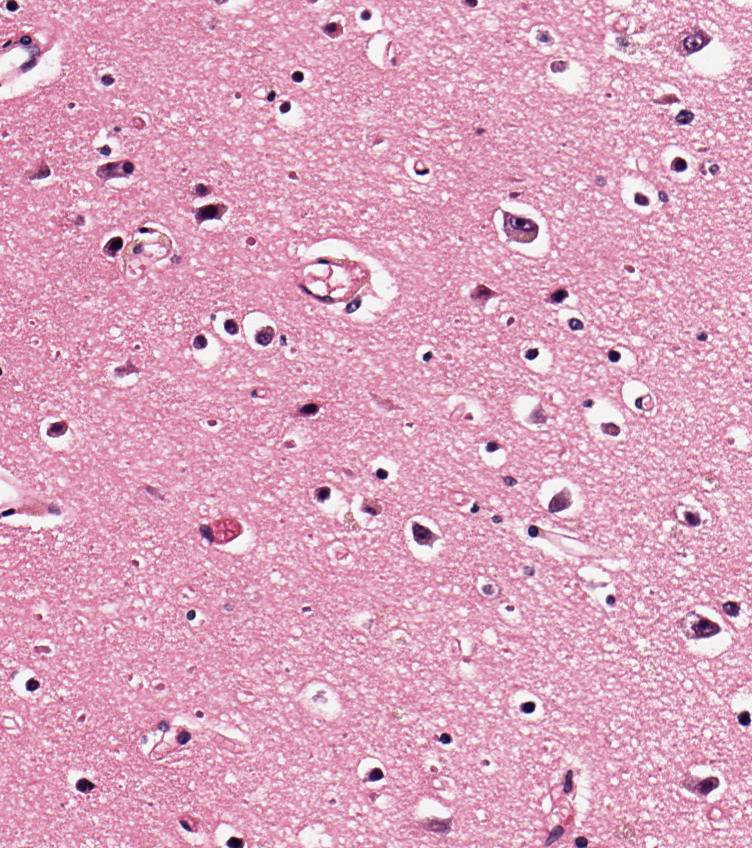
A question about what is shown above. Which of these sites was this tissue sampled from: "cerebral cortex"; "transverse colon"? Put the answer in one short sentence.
The site this tissue was sampled from is the cerebral cortex.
